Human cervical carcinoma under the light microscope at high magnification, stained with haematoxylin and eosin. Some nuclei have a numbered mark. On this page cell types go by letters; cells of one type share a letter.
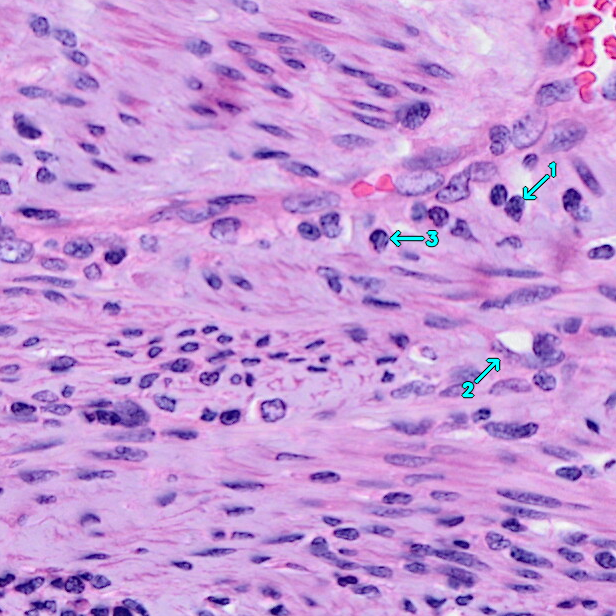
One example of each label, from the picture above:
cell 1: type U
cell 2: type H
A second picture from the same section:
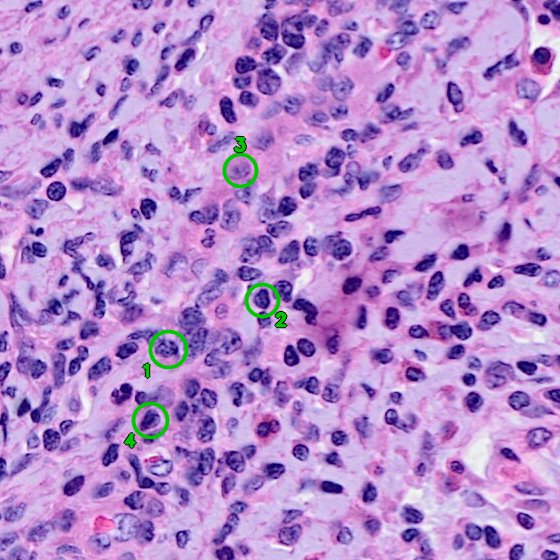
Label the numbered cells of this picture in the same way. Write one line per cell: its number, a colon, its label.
1: type U
2: type U
3: type H
4: type U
